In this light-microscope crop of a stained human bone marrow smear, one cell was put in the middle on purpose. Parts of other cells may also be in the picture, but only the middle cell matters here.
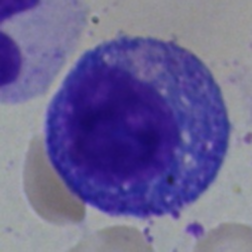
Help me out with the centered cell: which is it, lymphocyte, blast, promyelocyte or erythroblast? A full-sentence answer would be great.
The cell at the middle of the crop is recognized as a promyelocyte.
